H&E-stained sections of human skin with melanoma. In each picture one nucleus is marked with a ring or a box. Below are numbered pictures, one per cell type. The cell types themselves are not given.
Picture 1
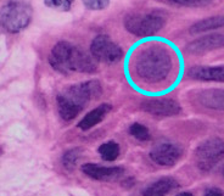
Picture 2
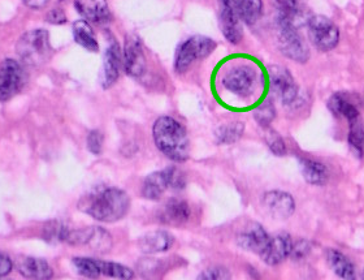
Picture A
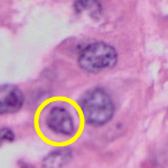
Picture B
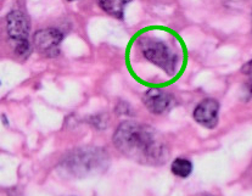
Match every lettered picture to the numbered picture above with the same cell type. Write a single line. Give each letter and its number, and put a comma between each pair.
A 2, B 2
